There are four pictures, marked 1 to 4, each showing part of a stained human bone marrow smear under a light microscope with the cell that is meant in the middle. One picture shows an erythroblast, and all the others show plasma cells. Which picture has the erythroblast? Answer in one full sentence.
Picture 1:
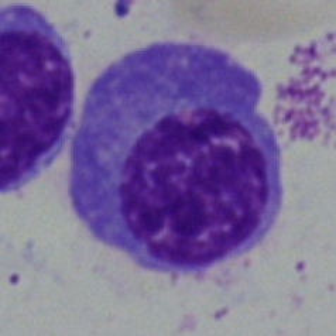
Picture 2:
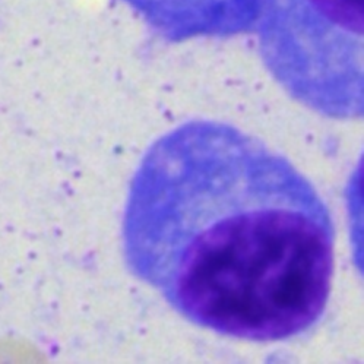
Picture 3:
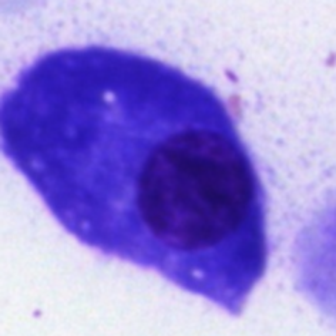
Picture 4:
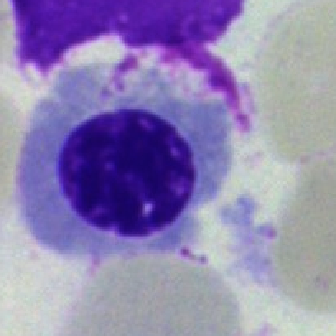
The erythroblast is the one in picture 4.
